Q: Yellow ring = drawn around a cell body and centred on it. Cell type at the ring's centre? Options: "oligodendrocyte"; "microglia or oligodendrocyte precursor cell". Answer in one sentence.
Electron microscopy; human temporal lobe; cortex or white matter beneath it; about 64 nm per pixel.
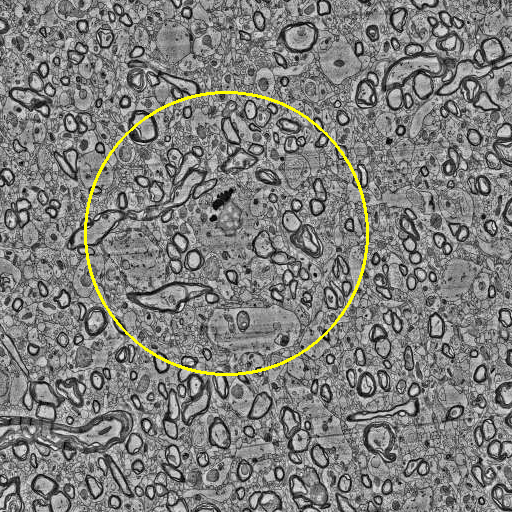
Centred in the ring is an oligodendrocyte.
